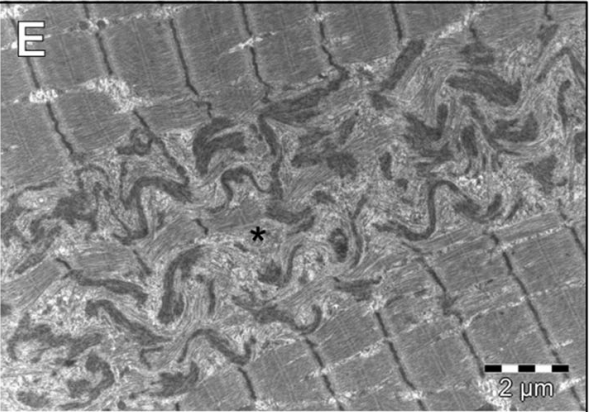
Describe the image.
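Longitudinally sectioned skeletal muscle fibre in which a central core region has lost the regular sarcomere pattern. Within it, myofilaments run in disordered directions and wavy, streaming electron-dense bands of smeared material are scattered throughout. At the margins, myofibrils with regular dark Z-lines and cross-striations are preserved.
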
